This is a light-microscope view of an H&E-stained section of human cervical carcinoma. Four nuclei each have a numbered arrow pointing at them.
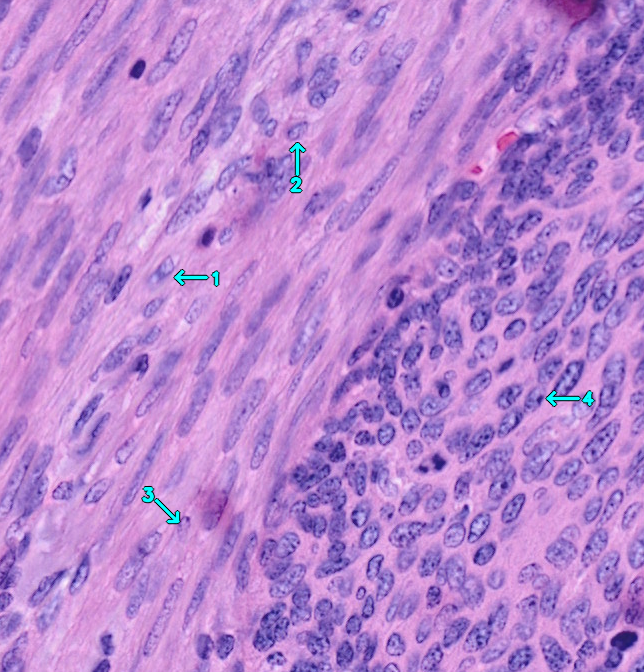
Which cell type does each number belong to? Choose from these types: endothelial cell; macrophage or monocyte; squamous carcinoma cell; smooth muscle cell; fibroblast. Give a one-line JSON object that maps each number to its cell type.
{"1": "smooth muscle cell", "2": "smooth muscle cell", "3": "smooth muscle cell", "4": "squamous carcinoma cell"}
